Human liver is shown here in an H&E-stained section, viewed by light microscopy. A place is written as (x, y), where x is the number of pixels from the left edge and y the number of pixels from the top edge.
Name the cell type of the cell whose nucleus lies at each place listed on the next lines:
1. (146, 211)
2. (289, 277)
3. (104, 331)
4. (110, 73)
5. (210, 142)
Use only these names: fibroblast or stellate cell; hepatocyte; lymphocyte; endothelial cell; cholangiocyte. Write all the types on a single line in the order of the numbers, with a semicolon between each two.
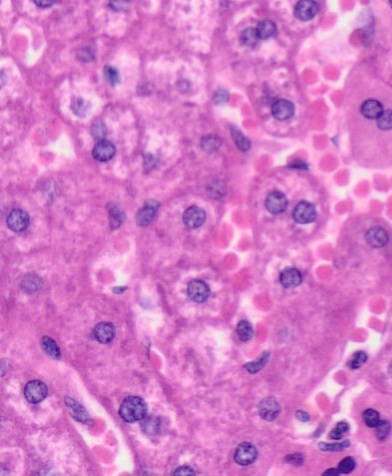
fibroblast or stellate cell; hepatocyte; hepatocyte; endothelial cell; hepatocyte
